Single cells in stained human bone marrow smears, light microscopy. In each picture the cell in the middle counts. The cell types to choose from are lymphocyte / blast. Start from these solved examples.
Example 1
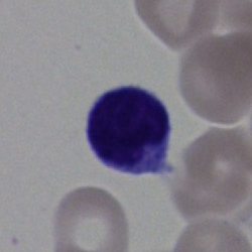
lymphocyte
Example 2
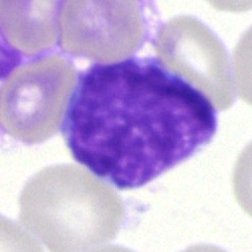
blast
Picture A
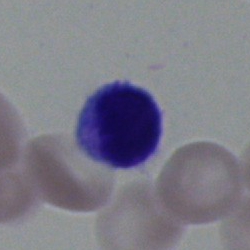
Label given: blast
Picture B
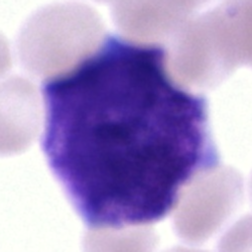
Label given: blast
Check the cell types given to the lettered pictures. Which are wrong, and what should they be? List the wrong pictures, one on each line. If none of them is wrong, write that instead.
A: lymphocyte, not blast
